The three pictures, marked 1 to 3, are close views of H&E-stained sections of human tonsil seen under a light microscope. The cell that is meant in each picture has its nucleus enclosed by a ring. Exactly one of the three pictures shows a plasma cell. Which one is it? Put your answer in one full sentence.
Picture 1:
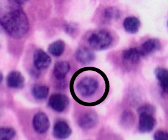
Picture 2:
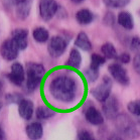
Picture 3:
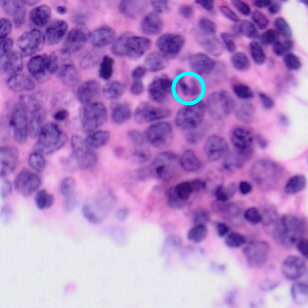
The picture with the plasma cell is 1.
